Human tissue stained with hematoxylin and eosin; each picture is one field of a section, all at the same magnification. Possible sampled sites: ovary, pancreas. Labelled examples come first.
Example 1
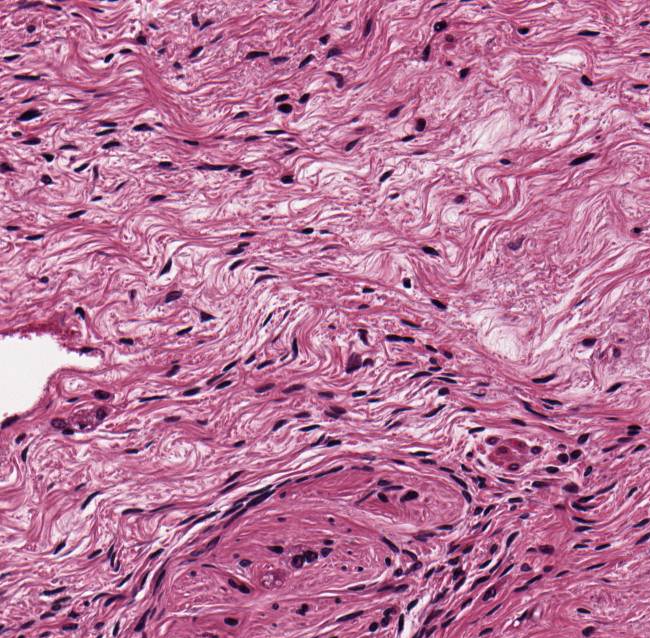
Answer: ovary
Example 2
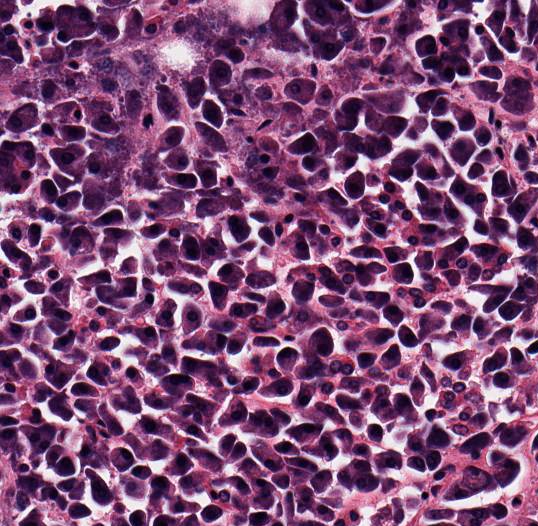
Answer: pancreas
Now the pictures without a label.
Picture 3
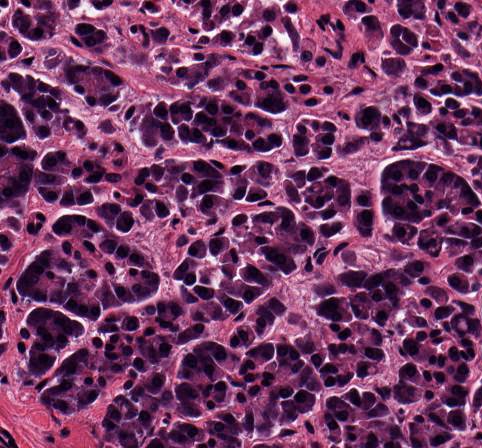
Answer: pancreas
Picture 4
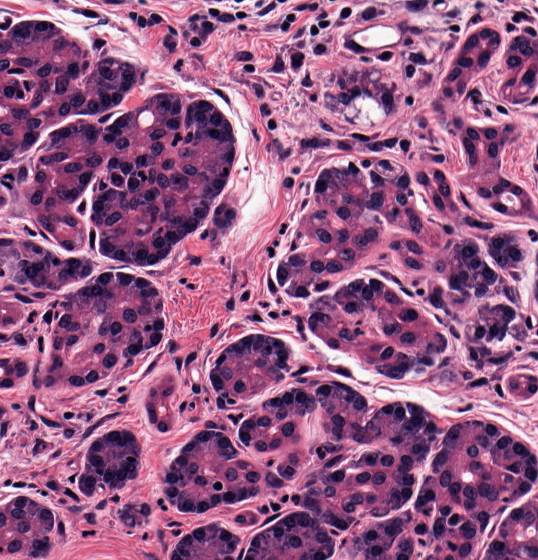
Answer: pancreas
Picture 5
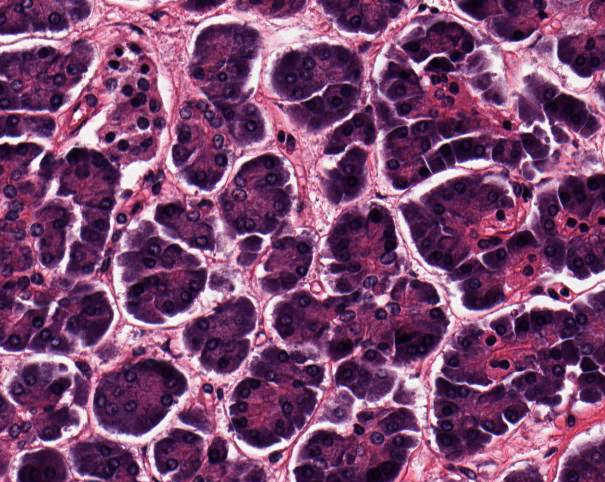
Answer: pancreas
